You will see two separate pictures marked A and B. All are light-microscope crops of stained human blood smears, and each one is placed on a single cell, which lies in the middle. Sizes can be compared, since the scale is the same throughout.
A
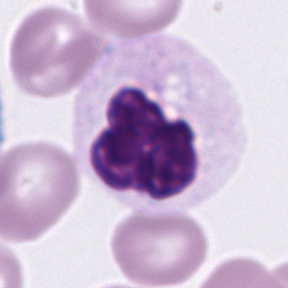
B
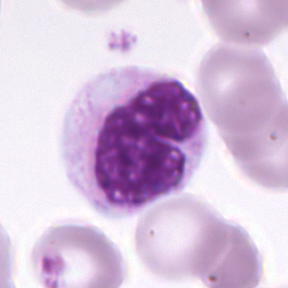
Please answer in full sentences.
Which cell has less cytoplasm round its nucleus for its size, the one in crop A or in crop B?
In crop B the nucleus takes up the larger part of its cell.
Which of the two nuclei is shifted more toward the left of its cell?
Seen within its cell, the nucleus in crop A lies further toward the left.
